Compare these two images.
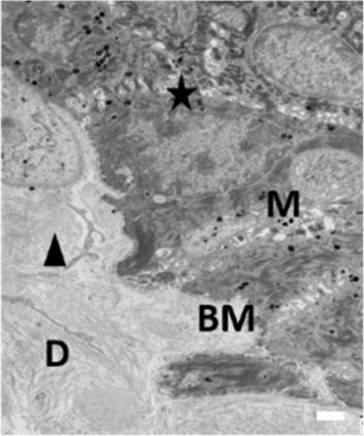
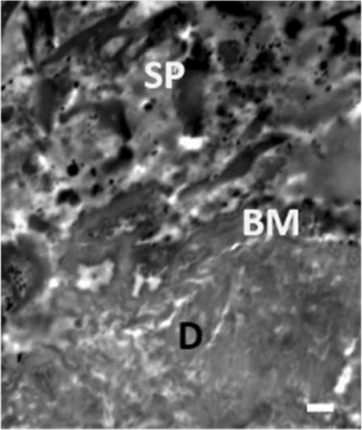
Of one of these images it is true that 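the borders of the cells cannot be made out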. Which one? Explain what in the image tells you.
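Second image: the epidermis is a smeared mass without distinct cell or nuclear outlines. First image: cells with clearly outlined oval nuclei and distinct cell borders.
Answer: the second image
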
